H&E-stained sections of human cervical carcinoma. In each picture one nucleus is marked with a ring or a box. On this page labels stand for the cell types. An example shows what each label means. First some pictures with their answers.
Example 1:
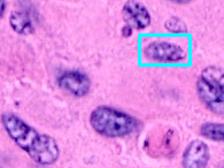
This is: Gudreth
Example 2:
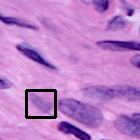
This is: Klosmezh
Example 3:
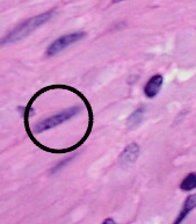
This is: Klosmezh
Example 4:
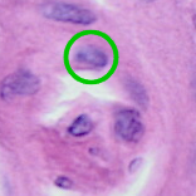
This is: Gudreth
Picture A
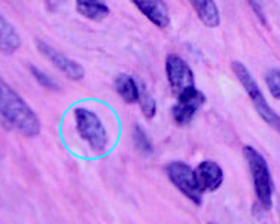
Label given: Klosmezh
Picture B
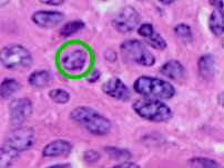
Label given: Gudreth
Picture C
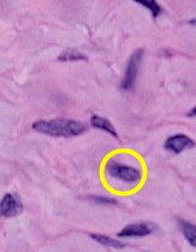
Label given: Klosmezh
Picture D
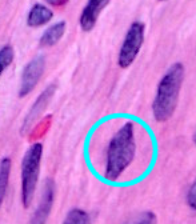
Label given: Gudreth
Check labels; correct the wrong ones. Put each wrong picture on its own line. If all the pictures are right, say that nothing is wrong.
D: Klosmezh, not Gudreth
